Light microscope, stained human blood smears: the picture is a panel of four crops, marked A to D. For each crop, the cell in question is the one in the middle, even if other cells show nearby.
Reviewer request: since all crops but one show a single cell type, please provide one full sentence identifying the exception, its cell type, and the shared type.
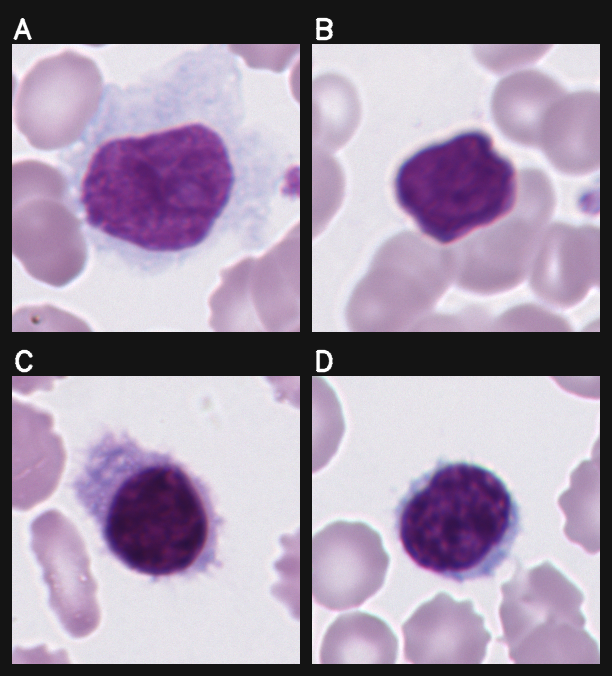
Crop B is the only one that is a smudge cell; all the others show hairy cells.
